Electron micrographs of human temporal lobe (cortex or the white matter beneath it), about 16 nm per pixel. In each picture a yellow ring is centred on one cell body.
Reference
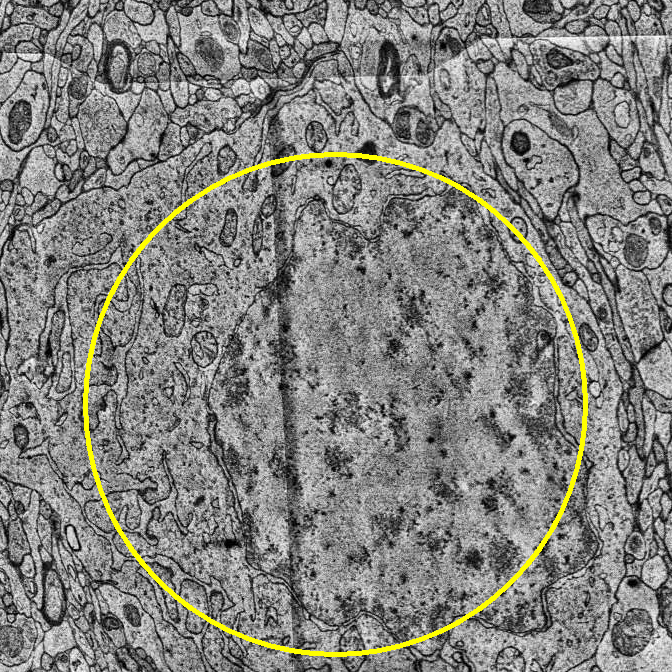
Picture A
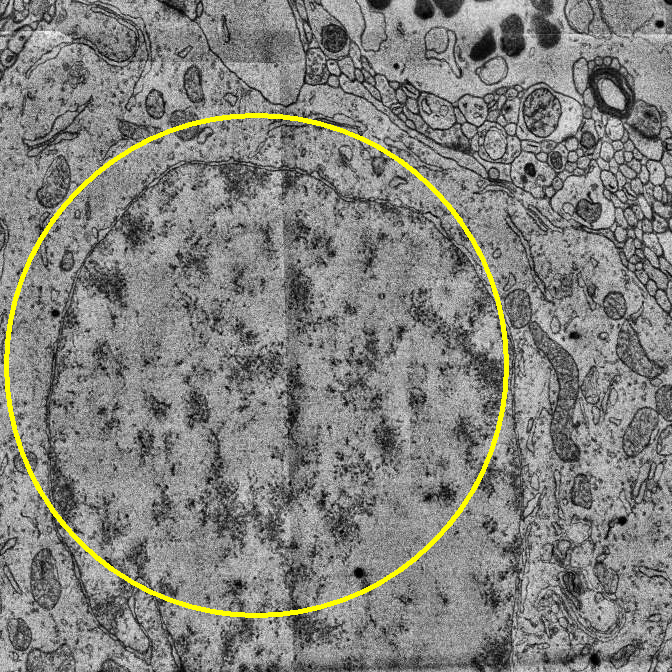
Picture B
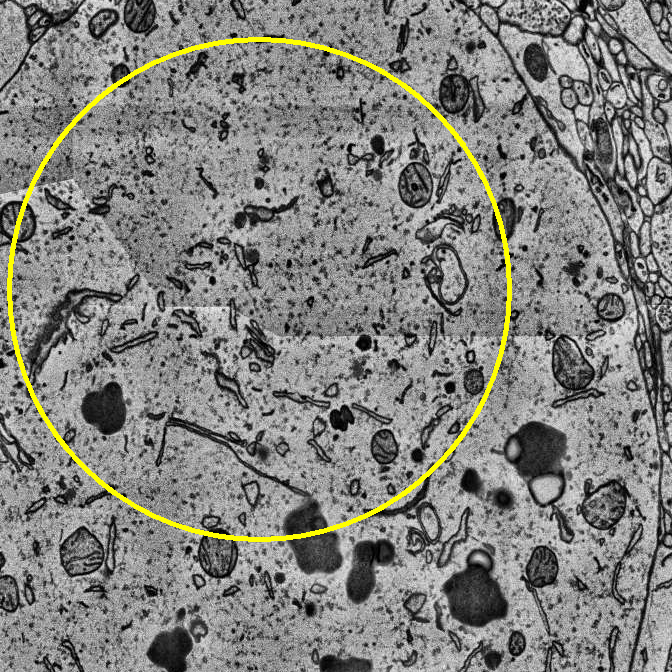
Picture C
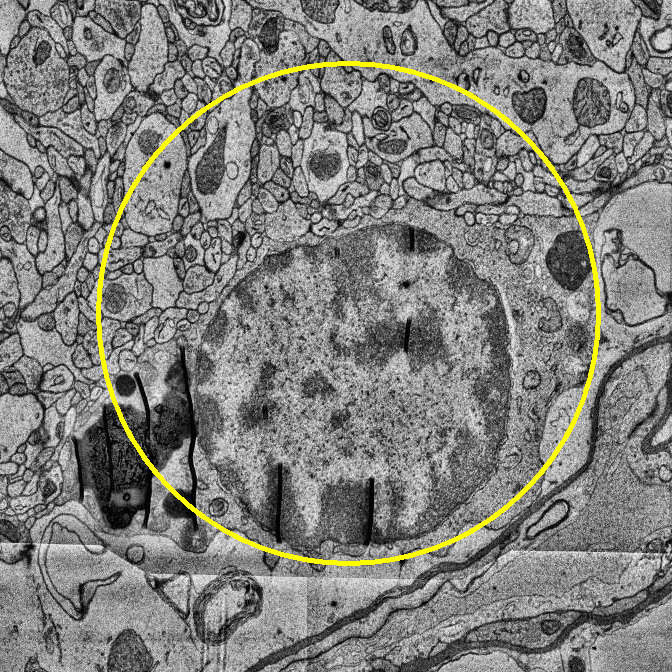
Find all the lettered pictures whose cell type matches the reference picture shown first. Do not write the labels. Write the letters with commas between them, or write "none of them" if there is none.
A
